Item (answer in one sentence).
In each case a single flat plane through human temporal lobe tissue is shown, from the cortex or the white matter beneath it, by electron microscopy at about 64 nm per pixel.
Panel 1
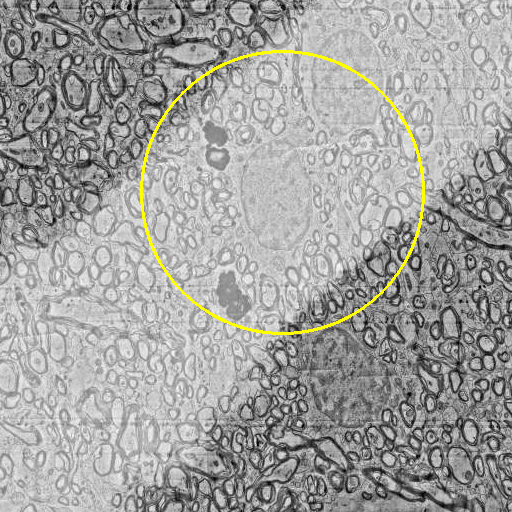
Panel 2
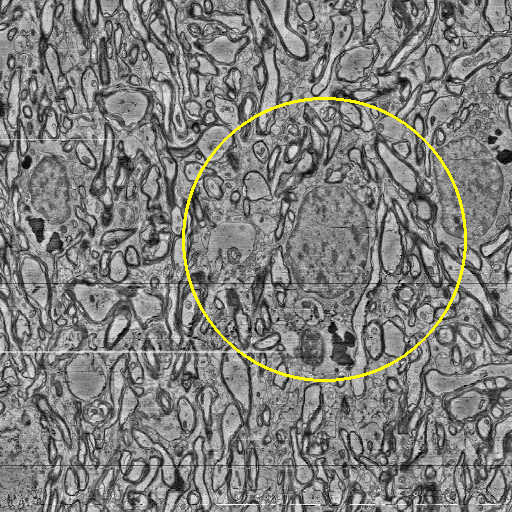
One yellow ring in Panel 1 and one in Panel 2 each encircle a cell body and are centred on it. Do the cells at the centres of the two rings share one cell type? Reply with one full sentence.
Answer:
Yes, Panel 1 and Panel 2 show cells of one type at the centres of their rings.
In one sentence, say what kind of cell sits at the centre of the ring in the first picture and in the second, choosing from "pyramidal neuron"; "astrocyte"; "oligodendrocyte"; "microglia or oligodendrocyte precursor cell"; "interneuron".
Both rings mark an oligodendrocyte, one in each picture.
